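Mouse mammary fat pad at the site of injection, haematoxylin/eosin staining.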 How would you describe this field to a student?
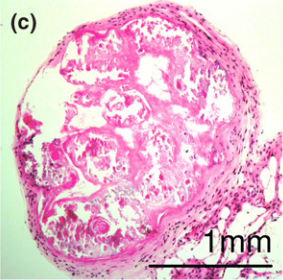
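This section shows a fibrotic nodule lacking epithelial cells. No ducts or nests of epithelial cells are seen inside. Outside the rim, looser connective tissue continues at the lower right.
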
